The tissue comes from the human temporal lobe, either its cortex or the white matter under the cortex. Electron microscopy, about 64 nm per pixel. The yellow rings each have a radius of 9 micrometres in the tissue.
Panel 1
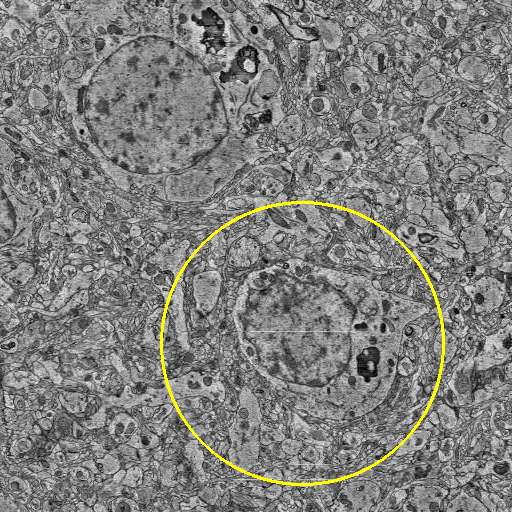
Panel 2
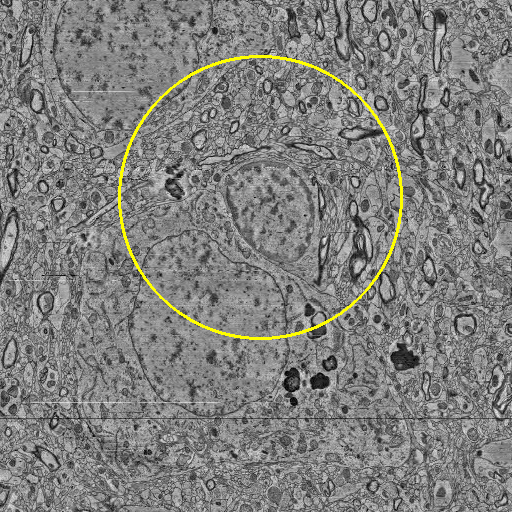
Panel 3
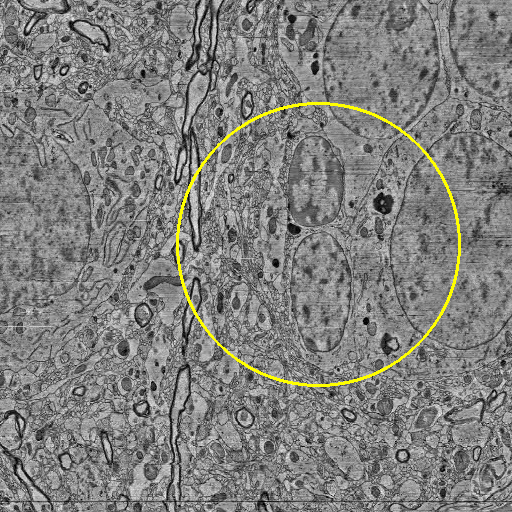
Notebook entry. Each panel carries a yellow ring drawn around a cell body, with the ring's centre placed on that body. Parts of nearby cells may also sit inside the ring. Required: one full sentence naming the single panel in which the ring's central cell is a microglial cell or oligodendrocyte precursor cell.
Panel 3 is the single one with the sought cell at its ring's centre.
